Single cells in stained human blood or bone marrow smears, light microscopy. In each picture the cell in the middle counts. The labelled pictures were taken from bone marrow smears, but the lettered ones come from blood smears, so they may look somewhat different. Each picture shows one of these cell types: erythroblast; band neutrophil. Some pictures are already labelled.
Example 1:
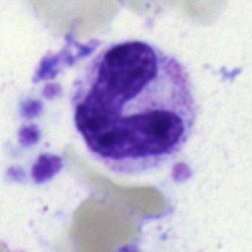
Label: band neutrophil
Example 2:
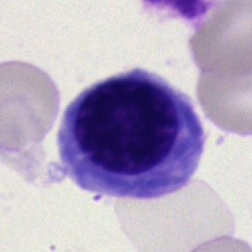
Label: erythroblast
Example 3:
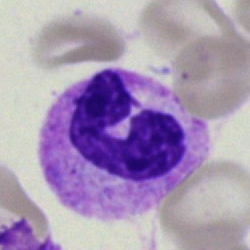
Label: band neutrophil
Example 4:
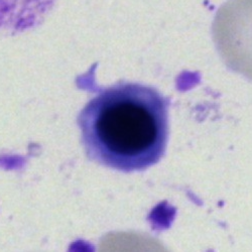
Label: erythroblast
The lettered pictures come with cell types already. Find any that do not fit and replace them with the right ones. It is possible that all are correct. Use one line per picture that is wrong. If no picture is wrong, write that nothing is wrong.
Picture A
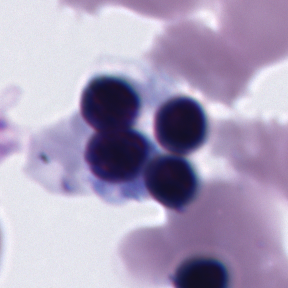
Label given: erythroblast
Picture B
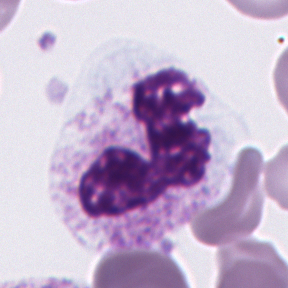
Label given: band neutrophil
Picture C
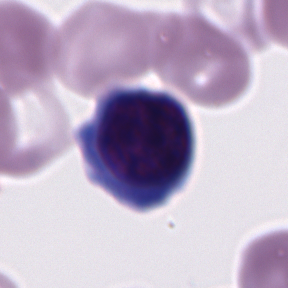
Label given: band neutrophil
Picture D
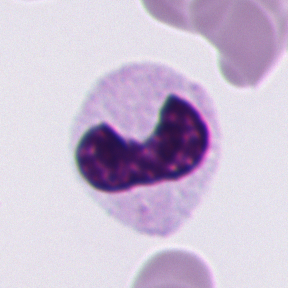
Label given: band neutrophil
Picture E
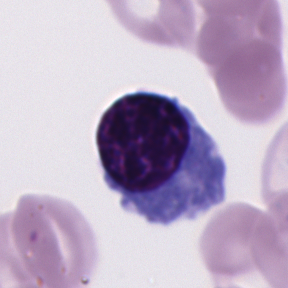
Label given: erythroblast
C: not band neutrophil but erythroblast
